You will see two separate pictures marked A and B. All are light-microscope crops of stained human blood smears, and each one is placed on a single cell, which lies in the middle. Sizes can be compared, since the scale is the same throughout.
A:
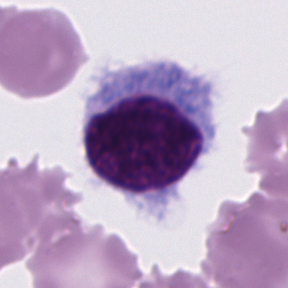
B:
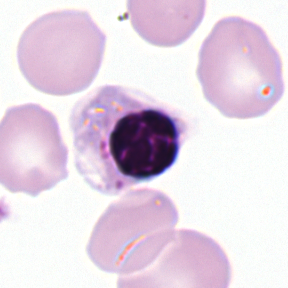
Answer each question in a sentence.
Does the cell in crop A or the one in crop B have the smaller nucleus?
Smaller is the nucleus in crop B, and the other is about 2.5 times as large in area.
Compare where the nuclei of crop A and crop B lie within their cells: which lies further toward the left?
Seen within its cell, the nucleus in crop A lies further toward the left.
